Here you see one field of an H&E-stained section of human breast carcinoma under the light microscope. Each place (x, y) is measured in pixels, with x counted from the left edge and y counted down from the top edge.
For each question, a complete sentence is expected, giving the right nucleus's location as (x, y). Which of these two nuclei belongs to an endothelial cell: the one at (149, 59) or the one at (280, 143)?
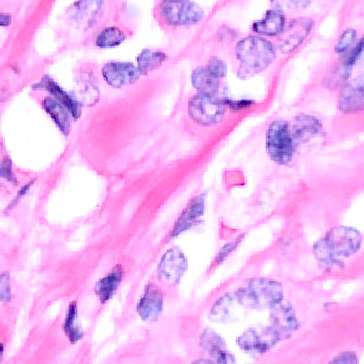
Between the pair, the nucleus at (280, 143) belongs to an endothelial cell.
